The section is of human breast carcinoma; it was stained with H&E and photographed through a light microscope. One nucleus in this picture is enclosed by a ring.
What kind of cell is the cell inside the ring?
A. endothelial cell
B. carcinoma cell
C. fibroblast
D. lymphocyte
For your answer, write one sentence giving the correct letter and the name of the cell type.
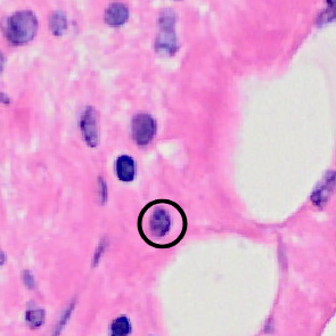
In keeping with option D, the cell inside the ring is a lymphocyte.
